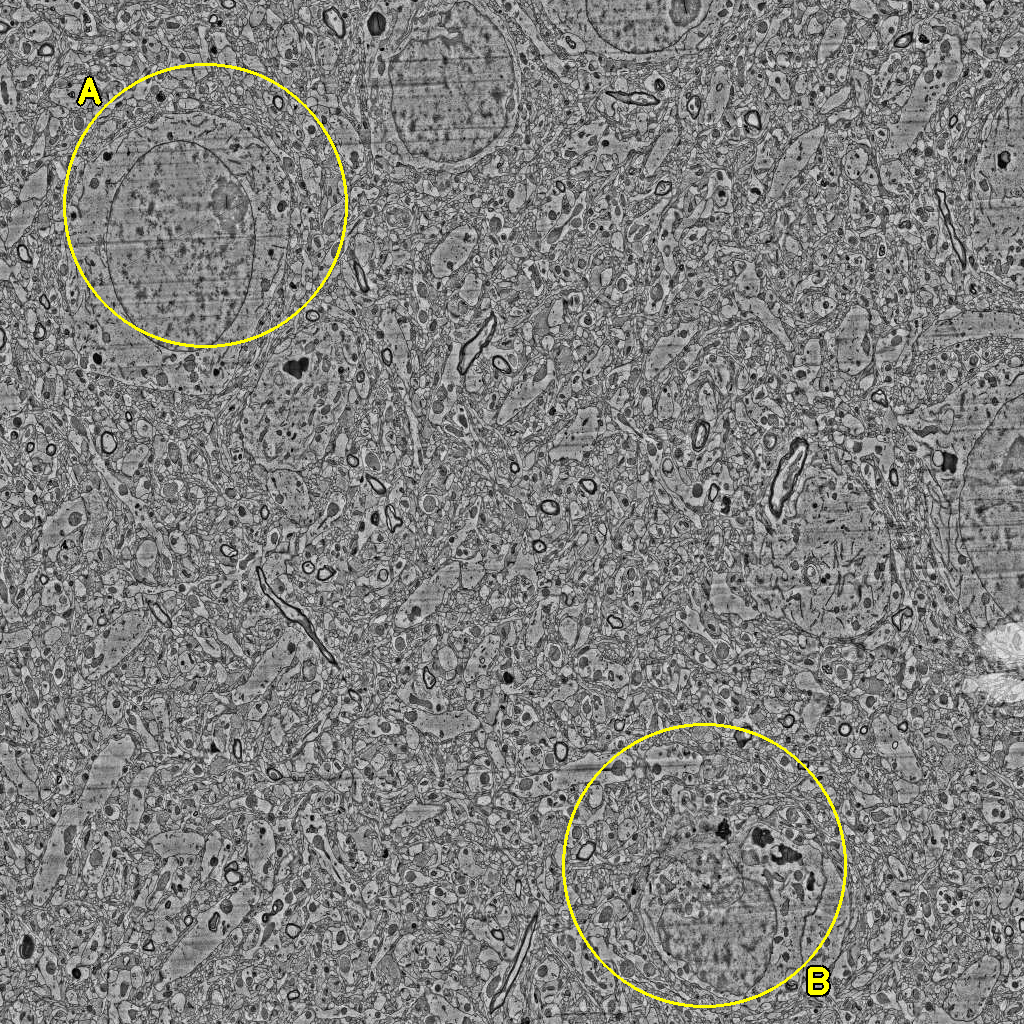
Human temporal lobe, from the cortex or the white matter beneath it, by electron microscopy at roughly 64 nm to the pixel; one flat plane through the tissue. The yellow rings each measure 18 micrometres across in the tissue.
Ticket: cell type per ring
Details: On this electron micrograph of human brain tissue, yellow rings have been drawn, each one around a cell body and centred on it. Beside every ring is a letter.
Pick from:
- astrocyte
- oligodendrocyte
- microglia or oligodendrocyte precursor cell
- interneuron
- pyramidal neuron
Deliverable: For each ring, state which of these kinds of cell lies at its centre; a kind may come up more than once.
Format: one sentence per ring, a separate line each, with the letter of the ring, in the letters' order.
The cell body ringed as A belongs to a pyramidal neuron.
The cell body ringed as B belongs to an oligodendrocyte.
